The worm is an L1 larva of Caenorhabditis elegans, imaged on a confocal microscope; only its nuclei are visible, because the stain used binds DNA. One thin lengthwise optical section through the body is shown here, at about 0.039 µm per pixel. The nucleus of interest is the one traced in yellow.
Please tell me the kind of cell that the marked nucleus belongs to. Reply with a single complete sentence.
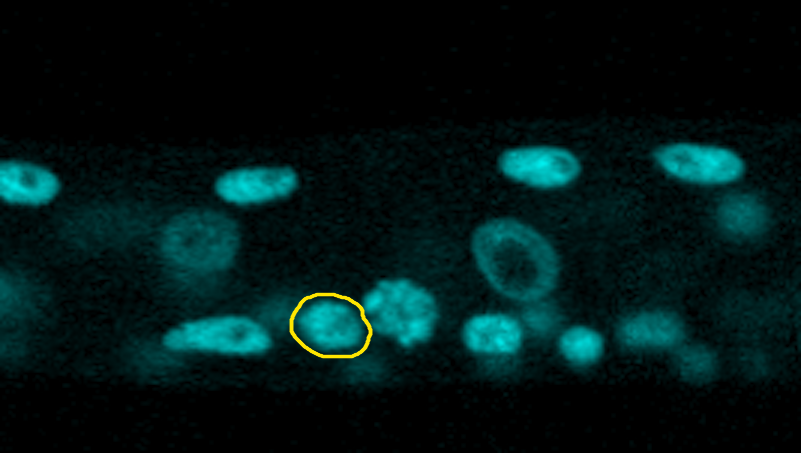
The marked nucleus belongs to a somatic gonad precursor.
